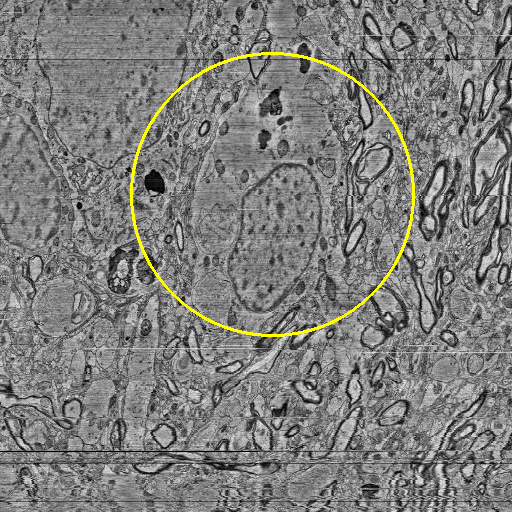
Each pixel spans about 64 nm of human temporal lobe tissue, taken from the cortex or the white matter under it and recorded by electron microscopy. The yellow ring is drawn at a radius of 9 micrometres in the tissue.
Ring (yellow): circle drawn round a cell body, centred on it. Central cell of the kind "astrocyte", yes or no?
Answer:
yes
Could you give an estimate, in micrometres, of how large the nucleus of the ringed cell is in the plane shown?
In this plane, about 10 micrometres in length and 6 in width.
